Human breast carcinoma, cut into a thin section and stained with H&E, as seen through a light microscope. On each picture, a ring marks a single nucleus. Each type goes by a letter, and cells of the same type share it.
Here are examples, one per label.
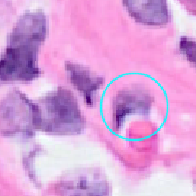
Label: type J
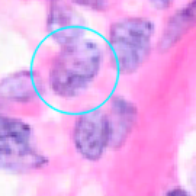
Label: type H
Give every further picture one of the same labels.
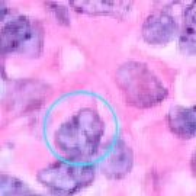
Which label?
type H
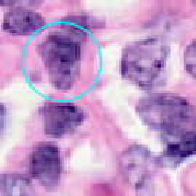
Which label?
type H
